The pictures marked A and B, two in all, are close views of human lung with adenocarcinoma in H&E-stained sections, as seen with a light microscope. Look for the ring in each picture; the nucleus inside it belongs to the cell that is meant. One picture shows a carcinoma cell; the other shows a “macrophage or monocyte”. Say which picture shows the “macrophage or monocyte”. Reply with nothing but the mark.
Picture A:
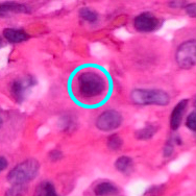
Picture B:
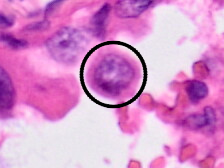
A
